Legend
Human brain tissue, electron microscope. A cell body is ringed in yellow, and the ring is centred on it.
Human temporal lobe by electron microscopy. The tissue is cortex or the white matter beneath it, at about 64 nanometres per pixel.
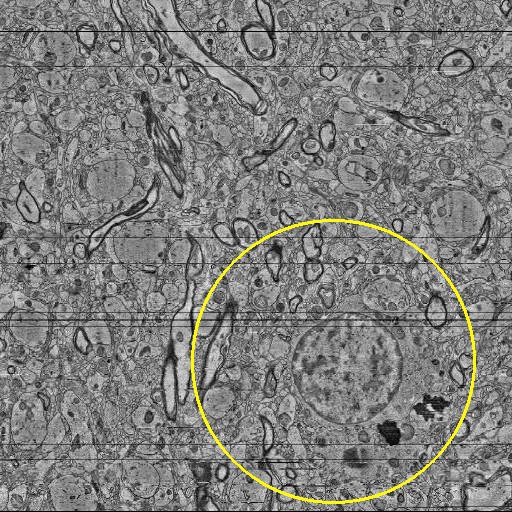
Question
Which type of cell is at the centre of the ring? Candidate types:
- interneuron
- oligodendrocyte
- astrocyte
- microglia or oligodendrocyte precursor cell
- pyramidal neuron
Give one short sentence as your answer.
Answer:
The yellow ring is centred here on an oligodendrocyte.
